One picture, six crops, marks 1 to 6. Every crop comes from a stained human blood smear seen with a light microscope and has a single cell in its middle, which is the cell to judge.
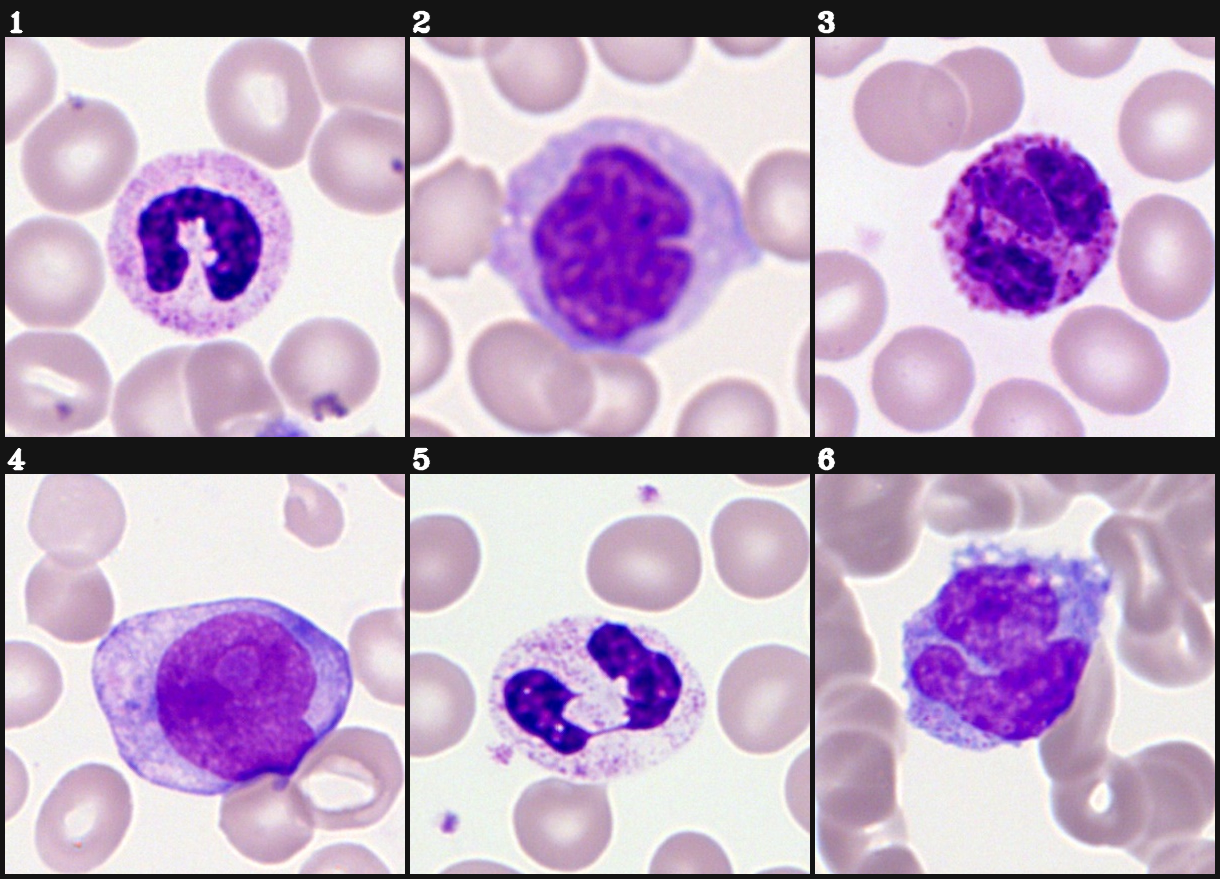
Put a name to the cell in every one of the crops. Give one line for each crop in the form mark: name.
1: band neutrophil
2: monocyte
3: basophil
4: myeloblast
5: segmented neutrophil
6: monocyte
